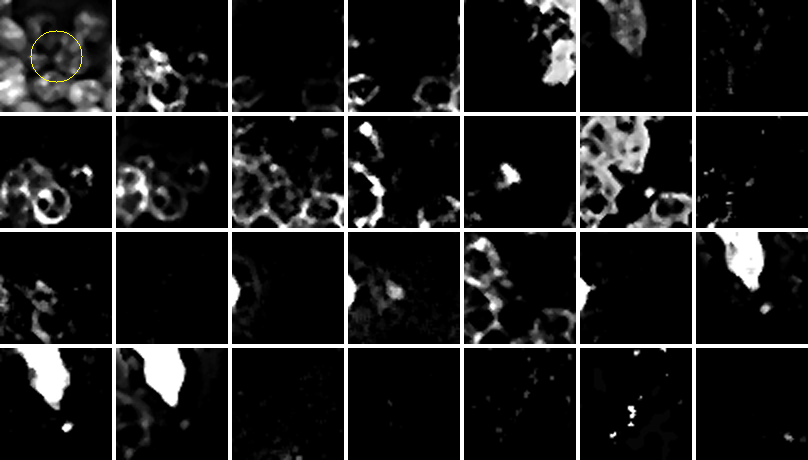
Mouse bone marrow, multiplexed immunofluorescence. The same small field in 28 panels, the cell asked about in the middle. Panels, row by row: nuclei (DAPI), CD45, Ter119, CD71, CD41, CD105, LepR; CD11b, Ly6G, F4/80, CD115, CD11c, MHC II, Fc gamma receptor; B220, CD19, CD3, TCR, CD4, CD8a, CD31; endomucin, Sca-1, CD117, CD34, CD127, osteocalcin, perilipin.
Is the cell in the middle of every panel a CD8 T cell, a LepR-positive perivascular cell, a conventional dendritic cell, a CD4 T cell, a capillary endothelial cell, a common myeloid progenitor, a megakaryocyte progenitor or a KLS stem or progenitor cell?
It is a capillary endothelial cell.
